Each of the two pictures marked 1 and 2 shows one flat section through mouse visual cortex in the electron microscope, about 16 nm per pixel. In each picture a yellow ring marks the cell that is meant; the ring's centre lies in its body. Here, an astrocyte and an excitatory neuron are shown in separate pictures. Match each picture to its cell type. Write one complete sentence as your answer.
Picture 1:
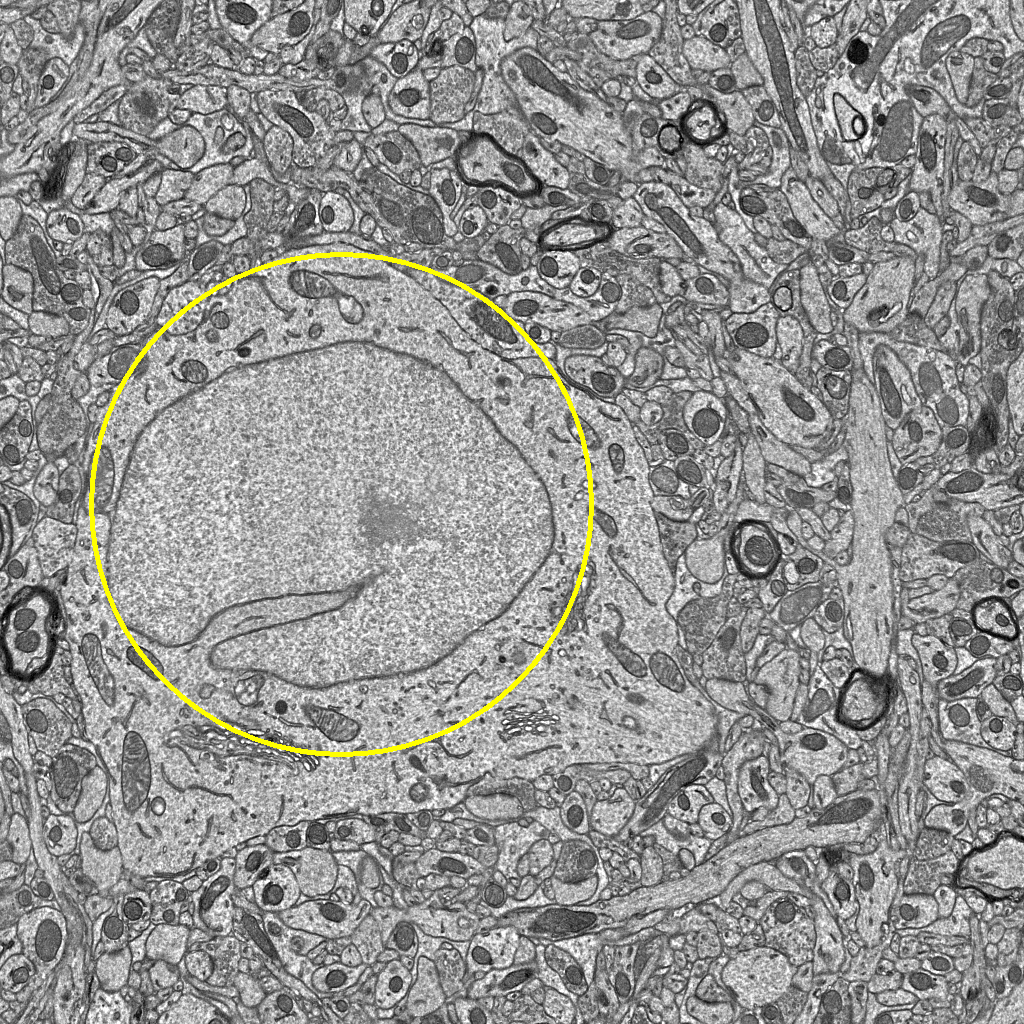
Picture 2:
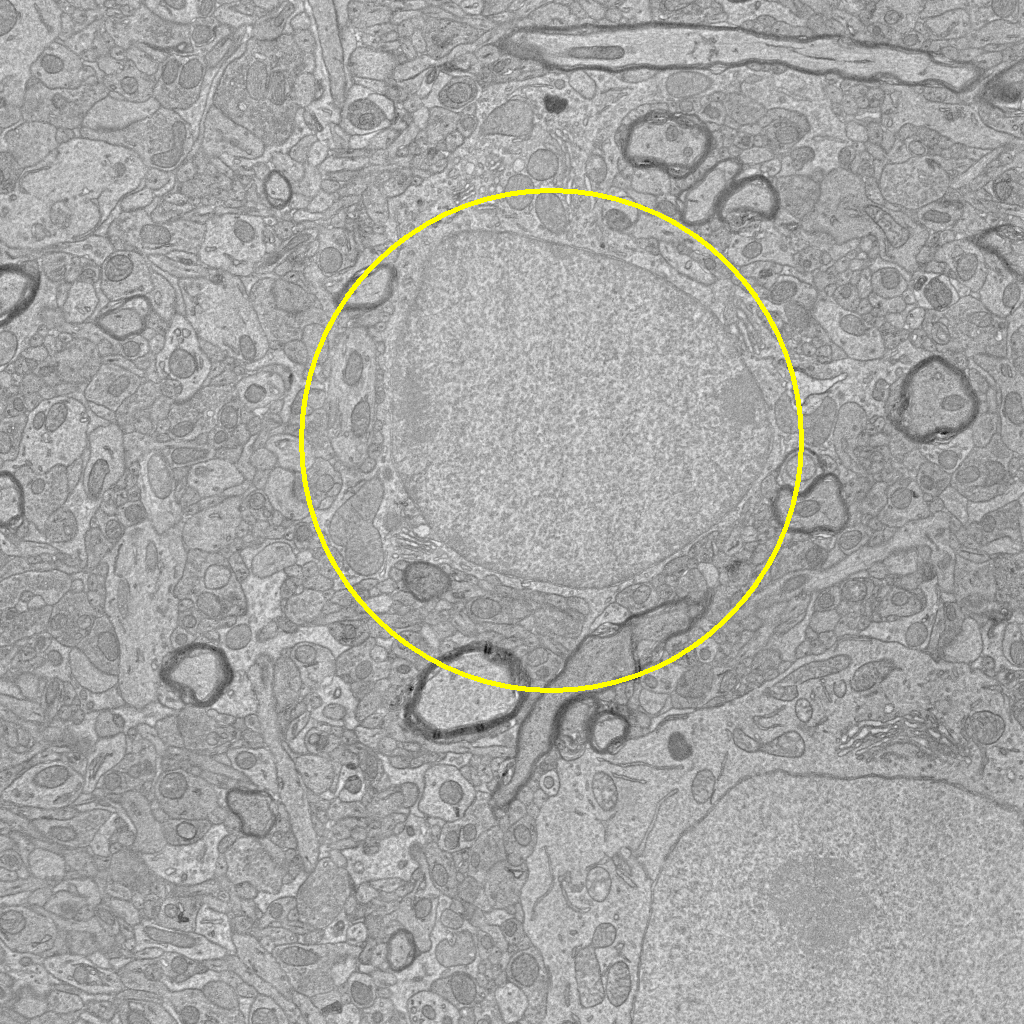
Picture 1 shows an excitatory neuron and picture 2 shows an astrocyte.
